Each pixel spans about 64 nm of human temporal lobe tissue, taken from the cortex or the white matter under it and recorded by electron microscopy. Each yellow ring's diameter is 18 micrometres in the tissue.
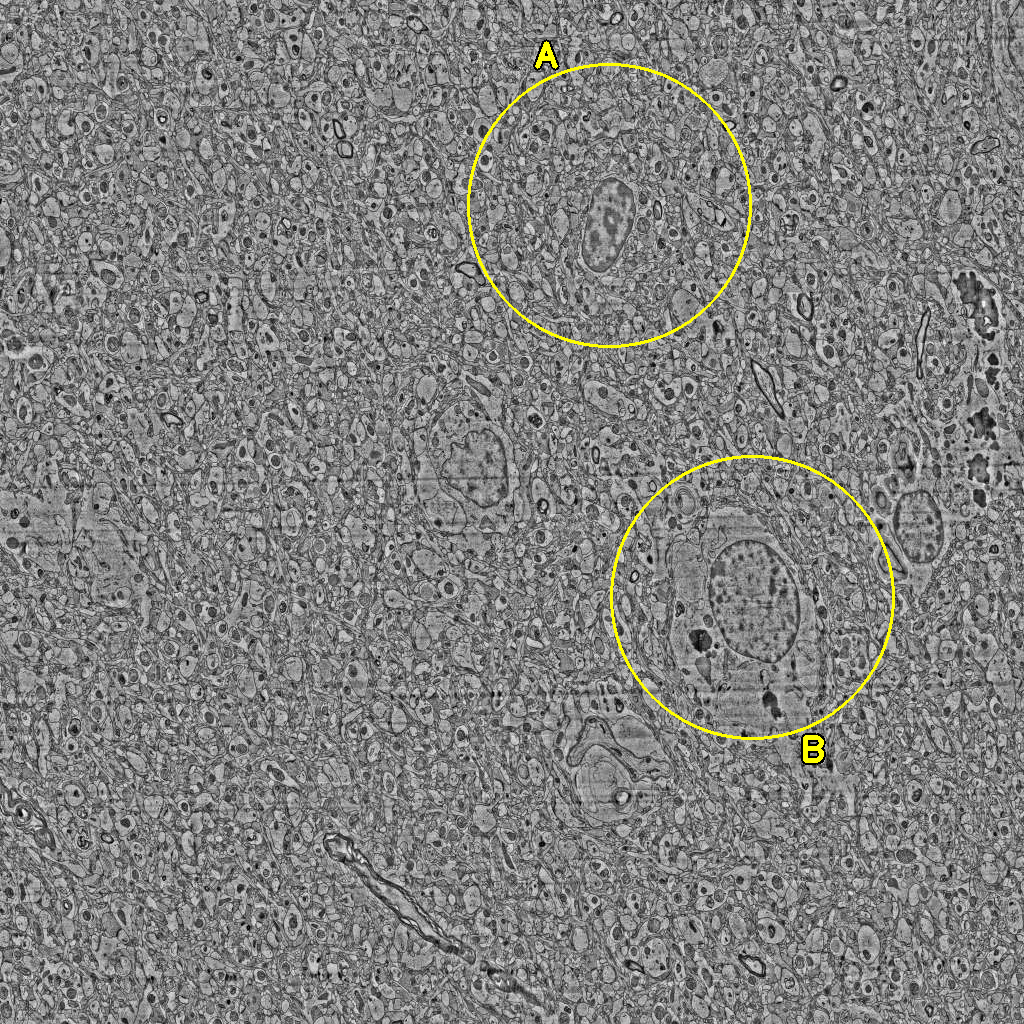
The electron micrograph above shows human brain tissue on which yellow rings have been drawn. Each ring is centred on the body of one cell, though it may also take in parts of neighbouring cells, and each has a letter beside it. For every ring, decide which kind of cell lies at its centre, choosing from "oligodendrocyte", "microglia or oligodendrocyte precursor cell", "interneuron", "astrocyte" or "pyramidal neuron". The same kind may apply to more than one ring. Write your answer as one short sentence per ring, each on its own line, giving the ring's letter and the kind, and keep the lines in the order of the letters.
Ring A is centred on a microglial cell or oligodendrocyte precursor cell.
Ring B is centred on an astrocyte.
